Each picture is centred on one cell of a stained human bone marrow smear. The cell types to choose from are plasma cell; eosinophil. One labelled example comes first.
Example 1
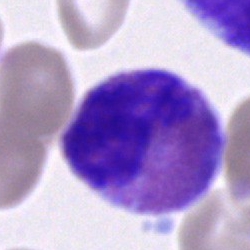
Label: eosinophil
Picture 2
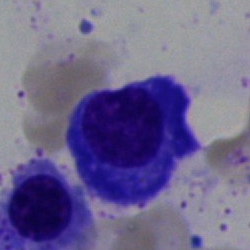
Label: plasma cell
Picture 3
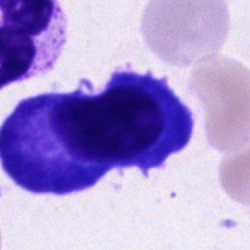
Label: plasma cell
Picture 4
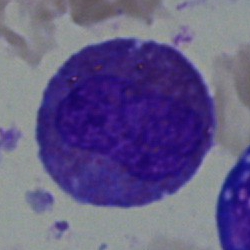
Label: eosinophil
